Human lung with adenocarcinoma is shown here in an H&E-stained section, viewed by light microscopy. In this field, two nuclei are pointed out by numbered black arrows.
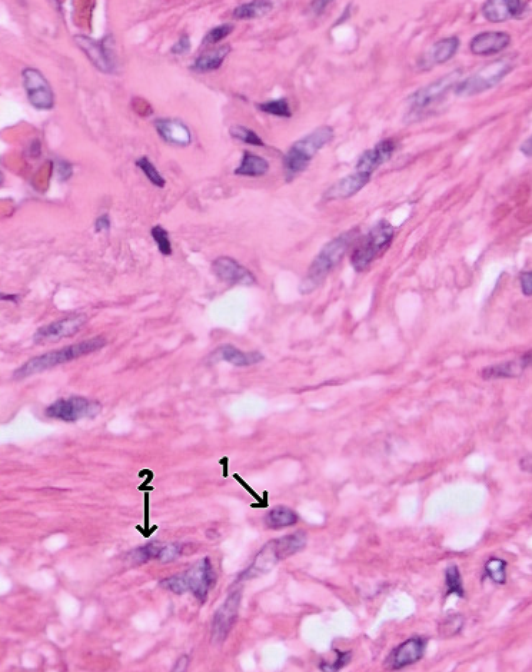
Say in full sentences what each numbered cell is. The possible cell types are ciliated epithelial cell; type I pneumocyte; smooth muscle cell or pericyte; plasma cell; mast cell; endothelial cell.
Cell 1 is a mast cell and cell 2 is a smooth muscle cell or pericyte.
